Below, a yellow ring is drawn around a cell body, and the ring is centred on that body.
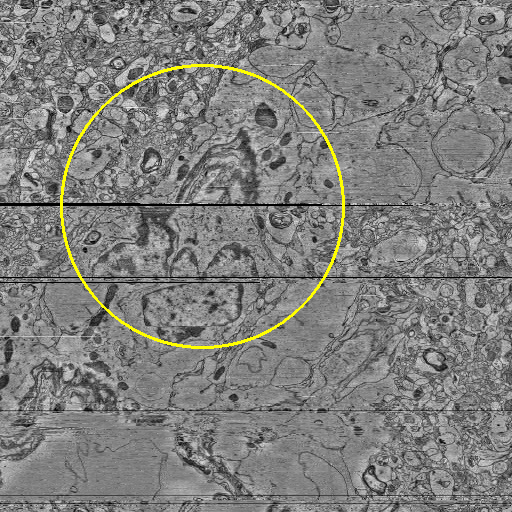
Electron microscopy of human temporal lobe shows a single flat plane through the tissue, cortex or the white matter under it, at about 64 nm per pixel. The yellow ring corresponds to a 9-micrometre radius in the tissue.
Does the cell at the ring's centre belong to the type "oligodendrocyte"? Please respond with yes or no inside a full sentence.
No, the centred cell inside the ring shown in the picture is of a different type.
